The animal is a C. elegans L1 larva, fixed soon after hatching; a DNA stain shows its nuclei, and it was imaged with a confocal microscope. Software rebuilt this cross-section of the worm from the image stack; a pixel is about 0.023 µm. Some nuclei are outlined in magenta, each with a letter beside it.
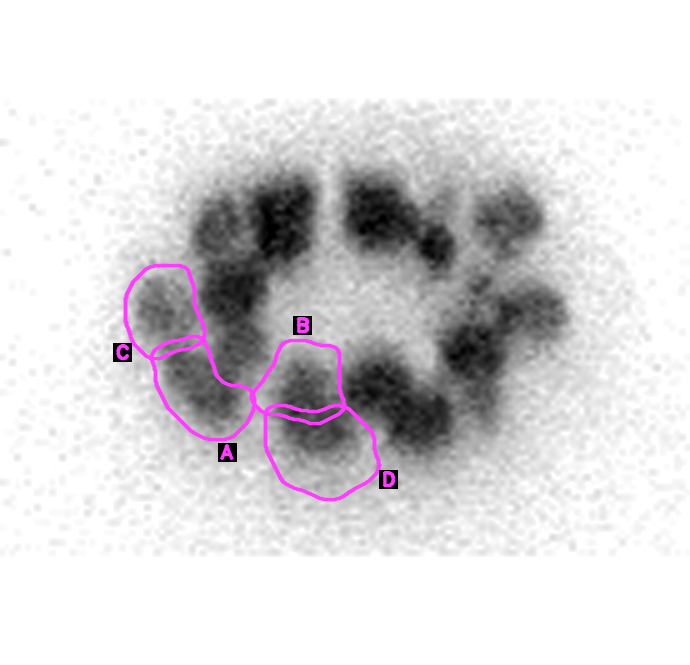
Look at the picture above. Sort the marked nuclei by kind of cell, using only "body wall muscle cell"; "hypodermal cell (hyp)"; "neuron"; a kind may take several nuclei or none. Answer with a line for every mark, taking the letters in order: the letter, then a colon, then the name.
A: body wall muscle cell
B: neuron
C: hypodermal cell (hyp)
D: neuron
